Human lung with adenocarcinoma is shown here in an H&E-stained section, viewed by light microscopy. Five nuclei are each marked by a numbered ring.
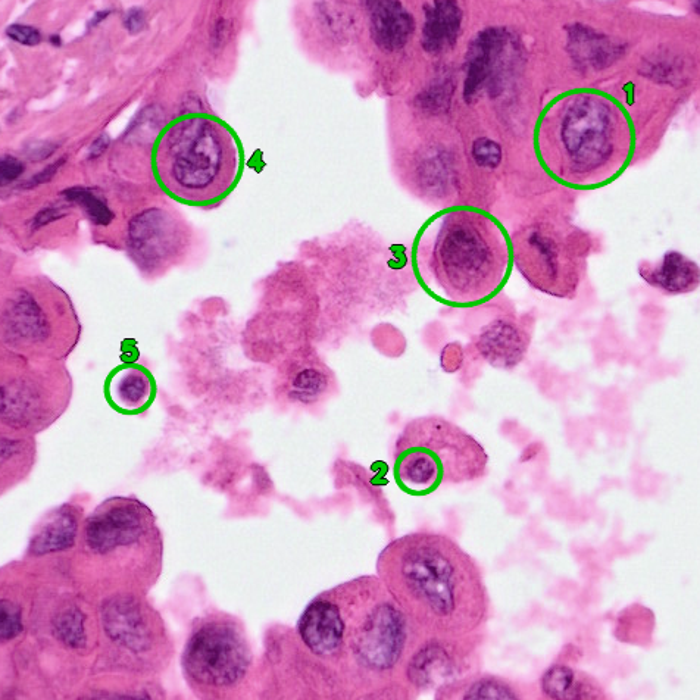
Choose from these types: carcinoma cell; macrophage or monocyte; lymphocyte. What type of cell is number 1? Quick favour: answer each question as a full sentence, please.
In the marked set, the cell given number 1 is a carcinoma cell.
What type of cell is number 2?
The correct label for cell 2 is a macrophage or monocyte.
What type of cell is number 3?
Identified by the number 3, the cell is a carcinoma cell.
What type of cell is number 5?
Here the cell numbered 5 is a lymphocyte.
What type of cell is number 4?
Recognised here as a carcinoma cell is the cell numbered 4.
